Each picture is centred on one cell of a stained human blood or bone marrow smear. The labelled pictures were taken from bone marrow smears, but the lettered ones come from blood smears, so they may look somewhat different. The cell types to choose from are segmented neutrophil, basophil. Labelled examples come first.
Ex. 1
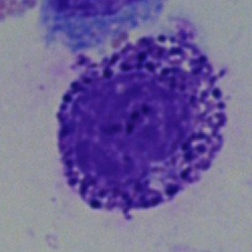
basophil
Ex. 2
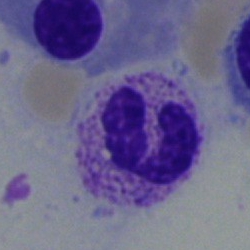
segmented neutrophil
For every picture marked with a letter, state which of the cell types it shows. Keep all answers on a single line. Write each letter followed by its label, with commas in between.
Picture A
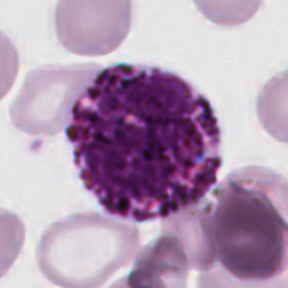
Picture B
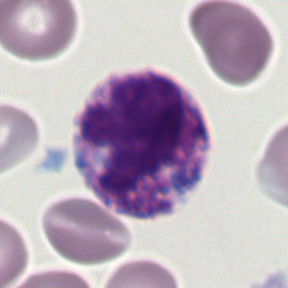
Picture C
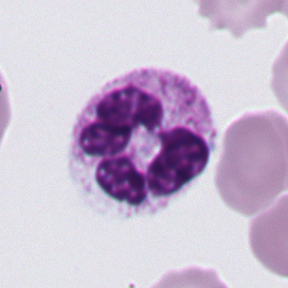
A basophil, B basophil, C segmented neutrophil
